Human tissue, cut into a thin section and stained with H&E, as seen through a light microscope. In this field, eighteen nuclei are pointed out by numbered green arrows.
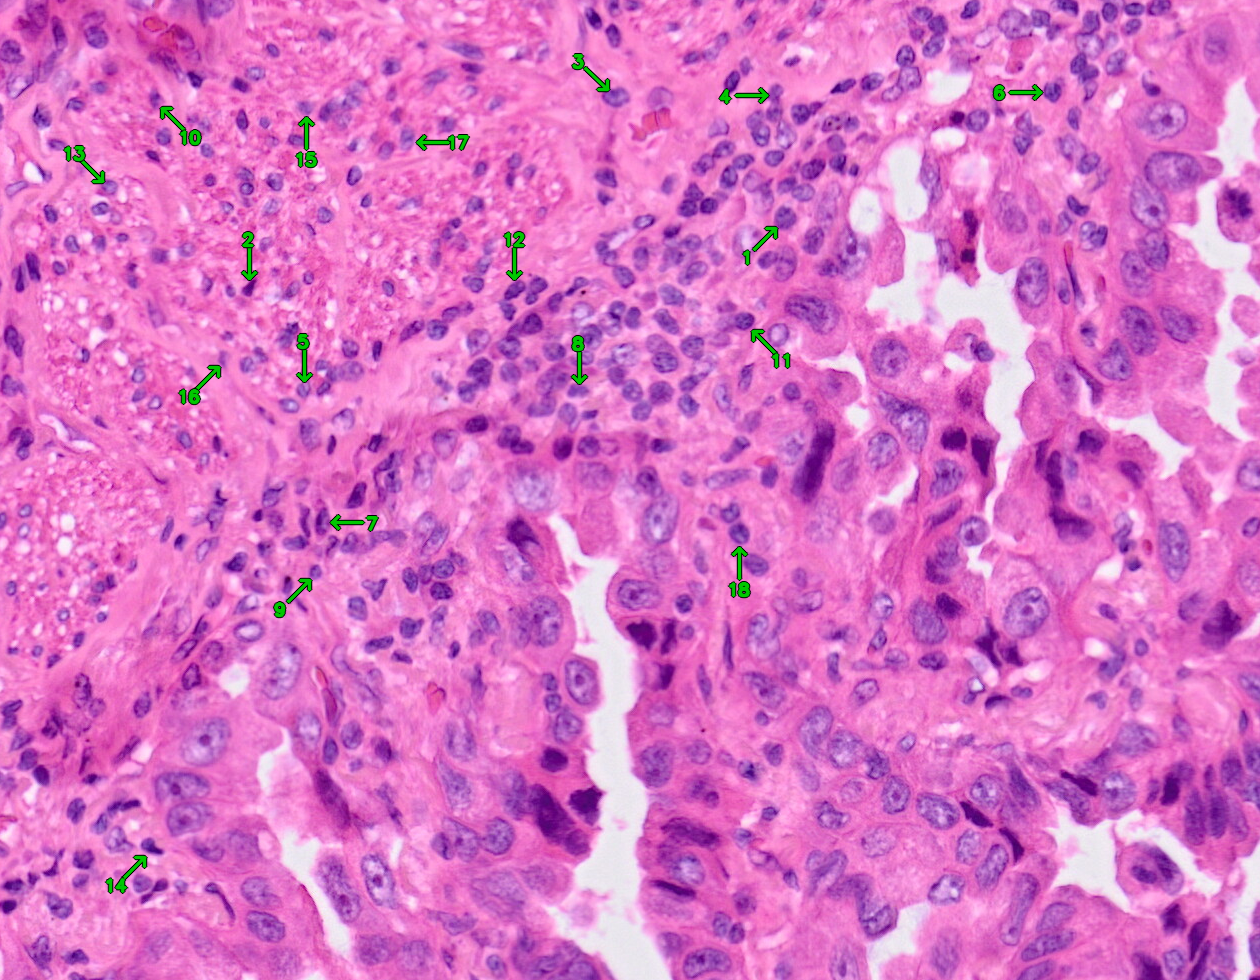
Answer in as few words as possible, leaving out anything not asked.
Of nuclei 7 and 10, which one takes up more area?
7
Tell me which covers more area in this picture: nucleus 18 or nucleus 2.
18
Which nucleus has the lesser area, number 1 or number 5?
5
